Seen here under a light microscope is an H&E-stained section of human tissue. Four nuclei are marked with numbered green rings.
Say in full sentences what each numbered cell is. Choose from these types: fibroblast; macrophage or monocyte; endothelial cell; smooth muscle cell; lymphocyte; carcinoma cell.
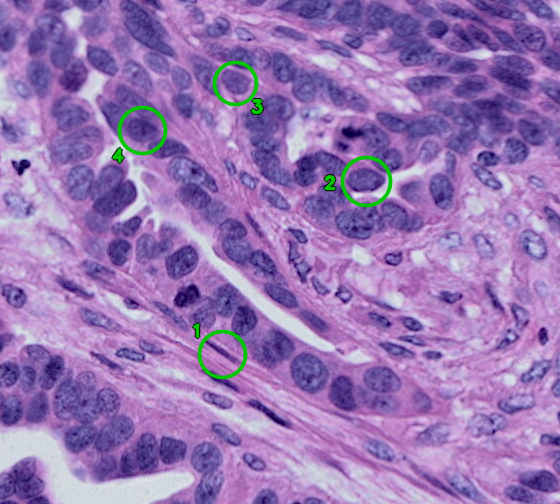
Cell 1 is a fibroblast. Cells 2, 3 and 4 are carcinoma cells.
